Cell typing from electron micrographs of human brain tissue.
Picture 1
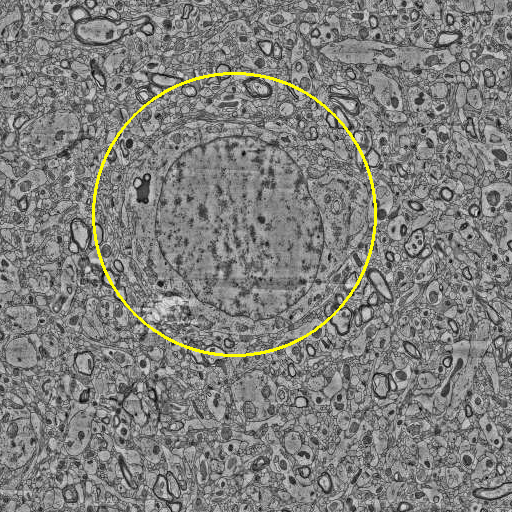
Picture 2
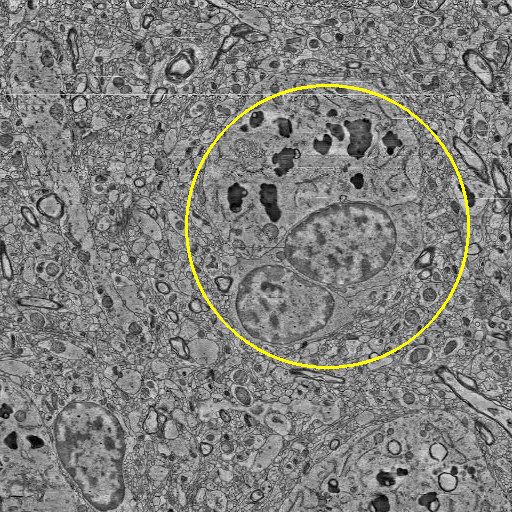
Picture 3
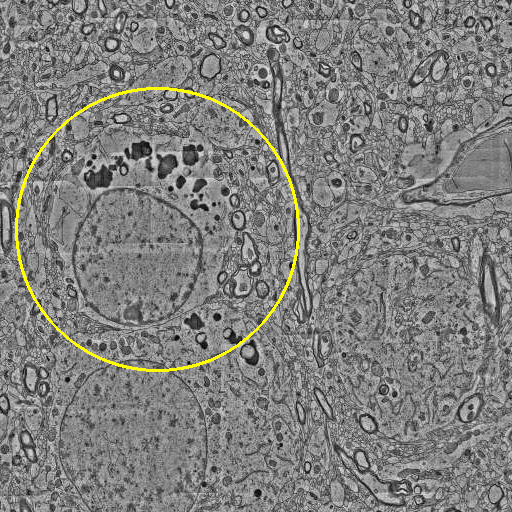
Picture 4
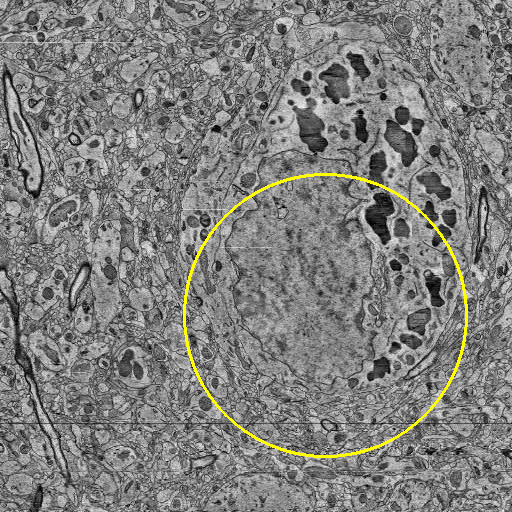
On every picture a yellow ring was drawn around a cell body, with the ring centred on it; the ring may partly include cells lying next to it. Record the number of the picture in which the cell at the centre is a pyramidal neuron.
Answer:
1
